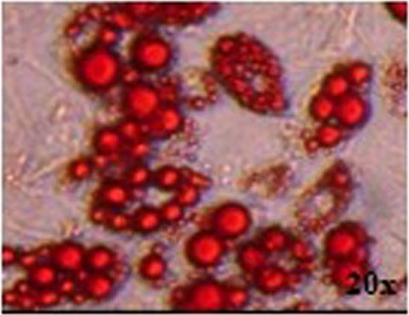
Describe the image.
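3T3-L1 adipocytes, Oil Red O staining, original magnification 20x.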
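Droplets cluster tightly within each cell, giving cells a rounded, grape-like appearance. Some cells show a ring of smaller droplets around a central unstained area. Between the droplet-filled cells, the pale pink background shows faint outlines of flat, unstained cells without lipid droplets. Small scattered red specks lie outside the main clusters.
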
